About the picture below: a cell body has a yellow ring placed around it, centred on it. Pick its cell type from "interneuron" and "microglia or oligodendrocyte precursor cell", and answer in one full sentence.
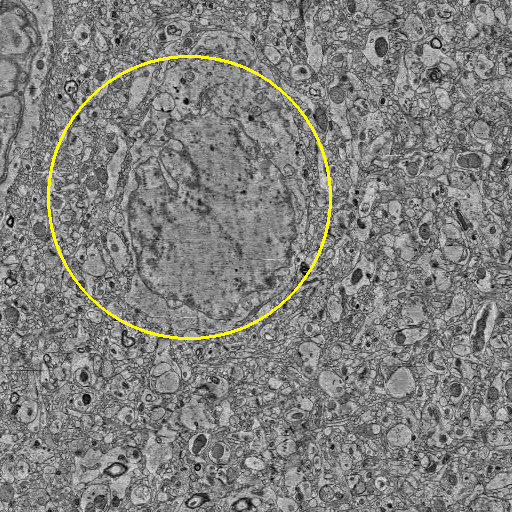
In the picture, an interneuron is the cell sitting at the centre of the yellow ring.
